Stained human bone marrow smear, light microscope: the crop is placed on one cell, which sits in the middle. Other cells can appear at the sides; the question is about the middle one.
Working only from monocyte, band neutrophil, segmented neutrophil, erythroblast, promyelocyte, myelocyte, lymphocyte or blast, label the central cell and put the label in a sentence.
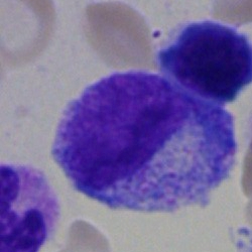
The cell the crop is centered on is a promyelocyte.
